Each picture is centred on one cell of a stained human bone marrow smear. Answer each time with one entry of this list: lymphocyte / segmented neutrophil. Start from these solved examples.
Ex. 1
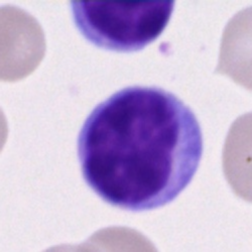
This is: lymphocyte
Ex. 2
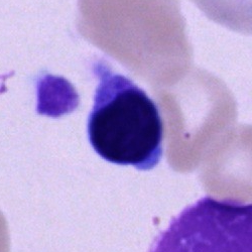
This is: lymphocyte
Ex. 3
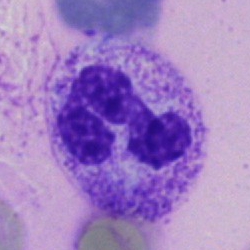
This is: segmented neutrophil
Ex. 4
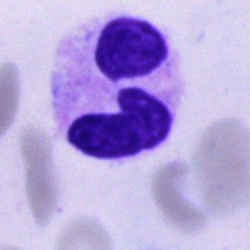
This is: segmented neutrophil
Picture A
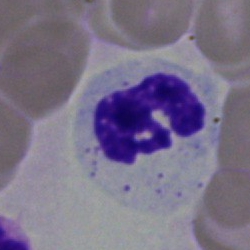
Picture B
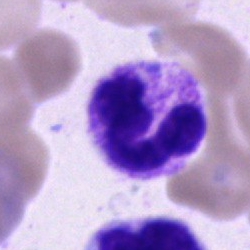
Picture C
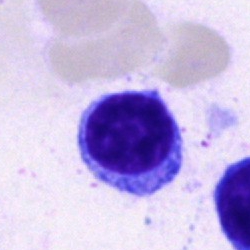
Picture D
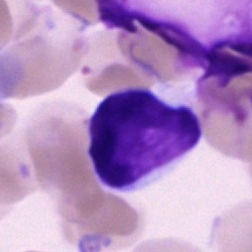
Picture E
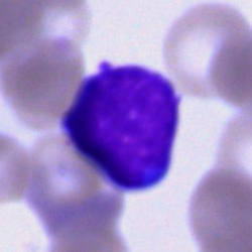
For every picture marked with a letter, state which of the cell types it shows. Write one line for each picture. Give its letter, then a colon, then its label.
A: segmented neutrophil
B: segmented neutrophil
C: lymphocyte
D: lymphocyte
E: lymphocyte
